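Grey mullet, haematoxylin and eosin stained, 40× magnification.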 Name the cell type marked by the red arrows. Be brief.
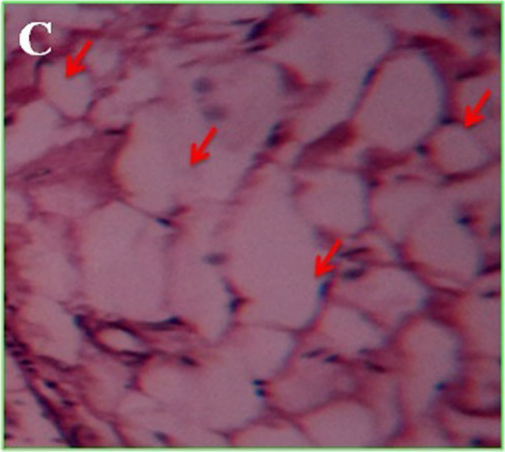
Adipocytes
